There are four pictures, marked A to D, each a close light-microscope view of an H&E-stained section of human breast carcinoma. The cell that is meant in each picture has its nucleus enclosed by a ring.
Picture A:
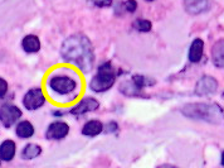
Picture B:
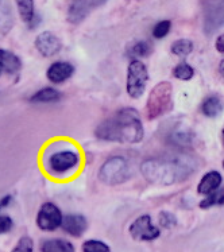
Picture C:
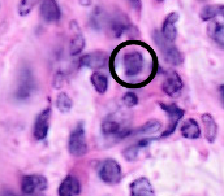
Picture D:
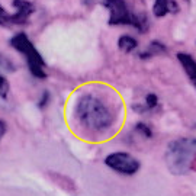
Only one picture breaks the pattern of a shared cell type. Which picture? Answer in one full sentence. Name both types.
The different one is picture D; it shows a mast cell, whereas all the others show lymphocytes.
